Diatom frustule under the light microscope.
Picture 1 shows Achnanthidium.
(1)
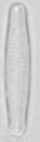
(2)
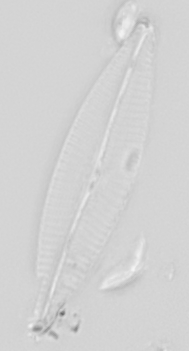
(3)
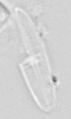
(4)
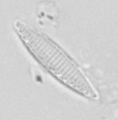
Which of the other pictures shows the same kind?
Picture 3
